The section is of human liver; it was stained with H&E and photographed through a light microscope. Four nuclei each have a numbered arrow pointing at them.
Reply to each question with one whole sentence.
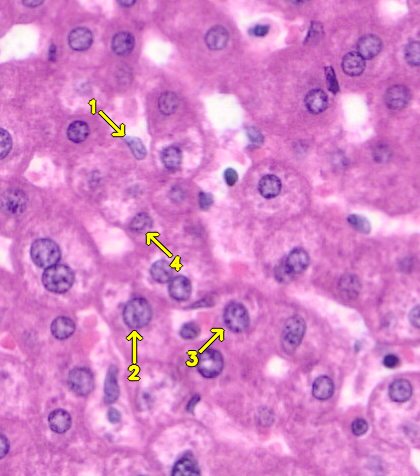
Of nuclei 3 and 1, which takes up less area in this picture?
Number 1 is smaller, since number 3 takes up about 1.5 times as much area.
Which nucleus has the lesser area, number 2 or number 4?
Nucleus 4 covers less area, with nucleus 2 about 1.5 times as large.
